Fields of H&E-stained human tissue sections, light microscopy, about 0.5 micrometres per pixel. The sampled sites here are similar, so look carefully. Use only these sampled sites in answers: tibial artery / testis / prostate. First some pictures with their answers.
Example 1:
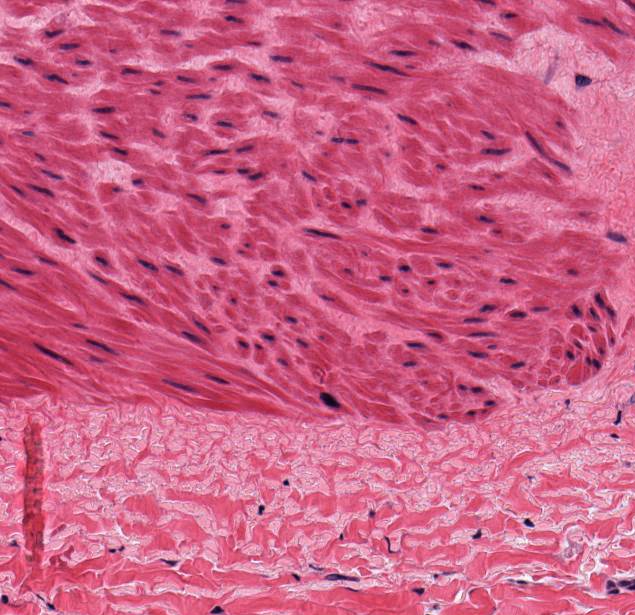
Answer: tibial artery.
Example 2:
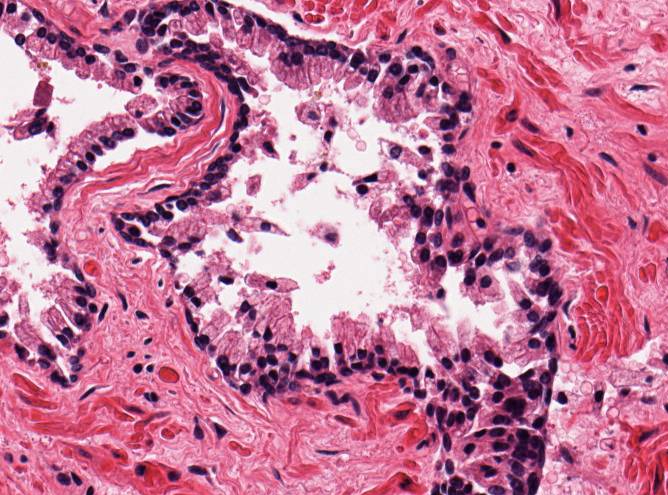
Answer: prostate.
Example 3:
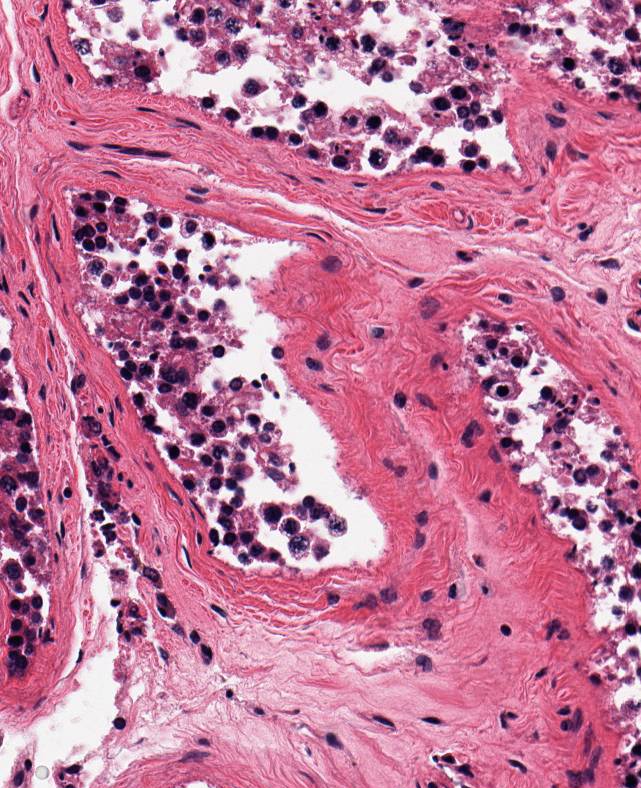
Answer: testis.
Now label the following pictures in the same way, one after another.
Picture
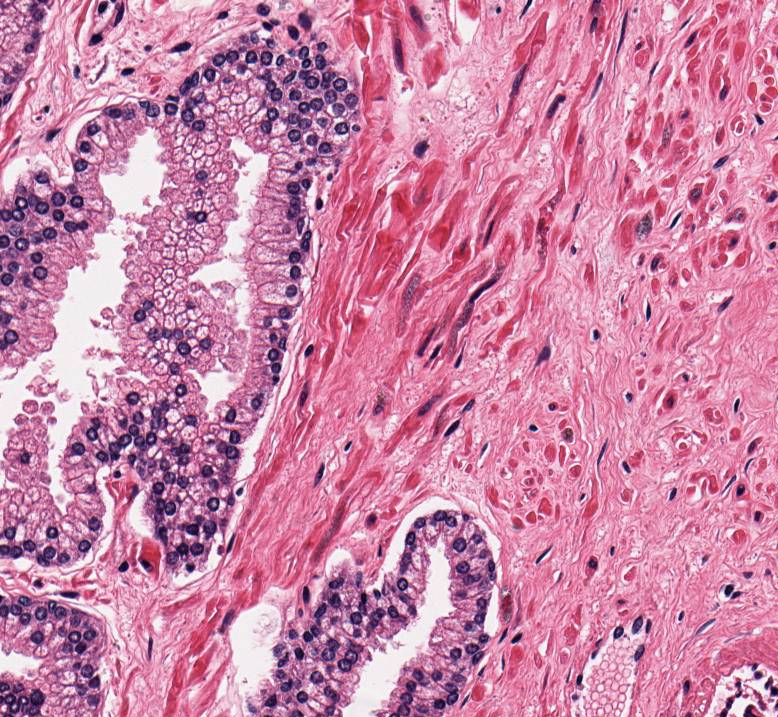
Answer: prostate.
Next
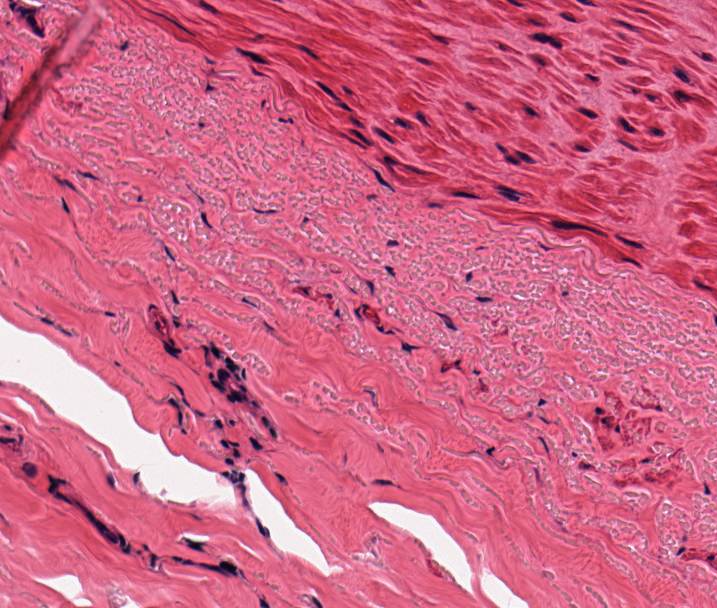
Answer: tibial artery.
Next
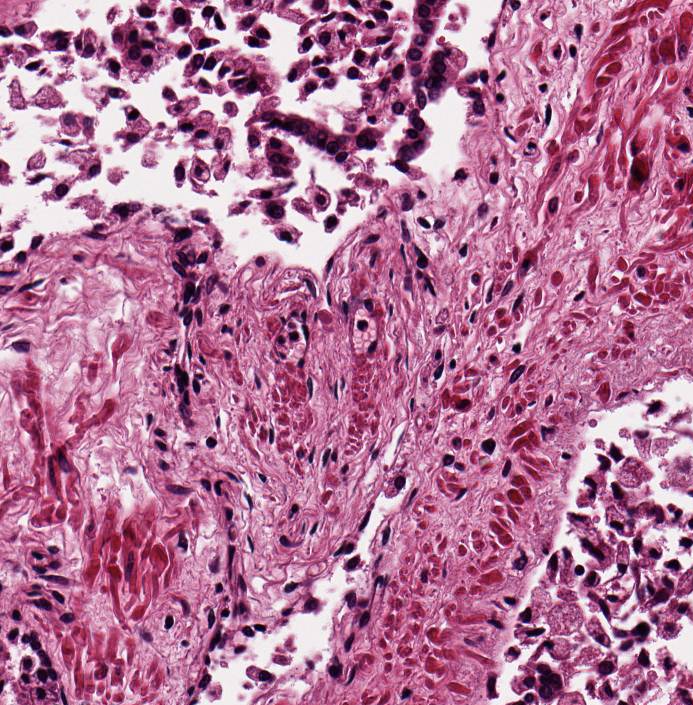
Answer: prostate.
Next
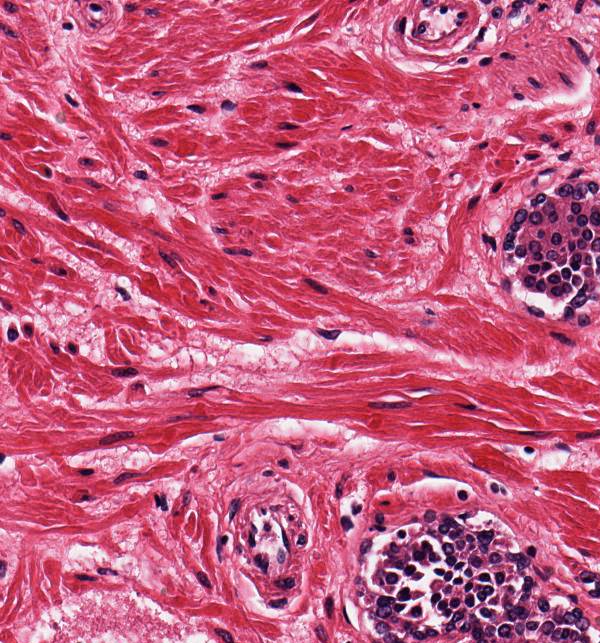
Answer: prostate.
